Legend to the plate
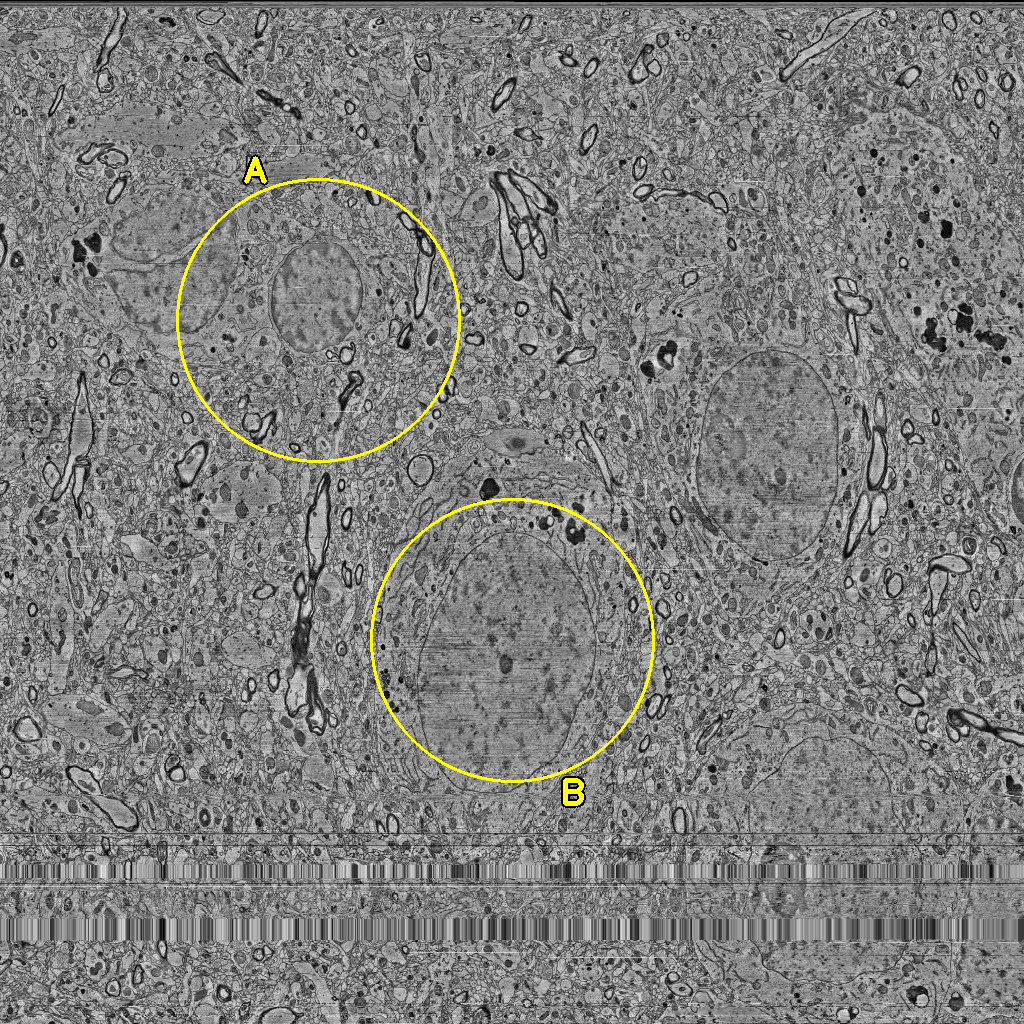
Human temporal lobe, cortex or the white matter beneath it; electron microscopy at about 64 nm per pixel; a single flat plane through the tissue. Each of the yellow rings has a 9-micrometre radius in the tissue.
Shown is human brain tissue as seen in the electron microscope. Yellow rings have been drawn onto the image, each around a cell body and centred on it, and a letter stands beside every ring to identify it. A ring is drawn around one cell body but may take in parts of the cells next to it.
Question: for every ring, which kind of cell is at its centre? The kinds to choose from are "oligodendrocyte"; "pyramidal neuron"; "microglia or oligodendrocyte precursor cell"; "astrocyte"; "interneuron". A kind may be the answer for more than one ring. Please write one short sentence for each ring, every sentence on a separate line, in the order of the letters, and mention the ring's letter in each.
The kind of cell at the centre of ring A is an oligodendrocyte.
The kind of cell at the centre of ring B is a pyramidal neuron.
